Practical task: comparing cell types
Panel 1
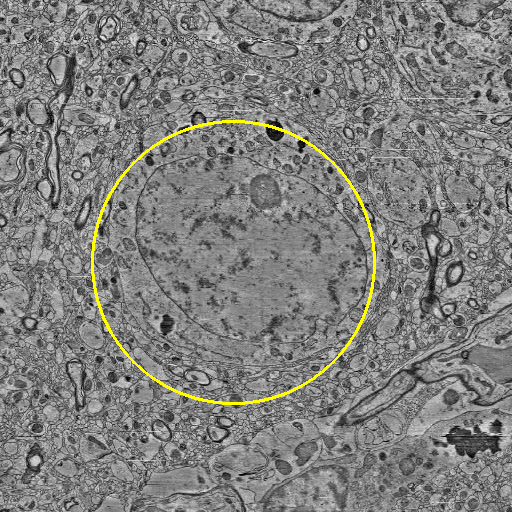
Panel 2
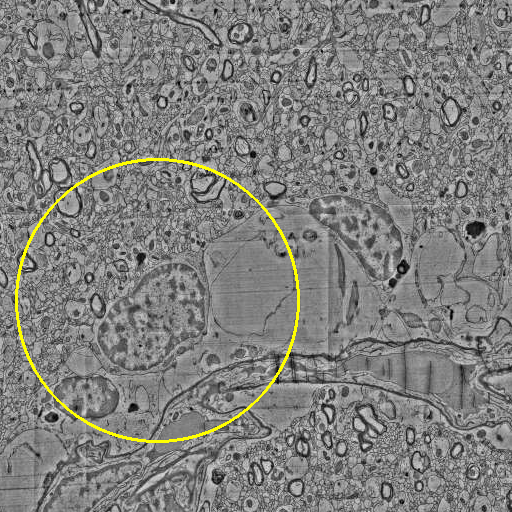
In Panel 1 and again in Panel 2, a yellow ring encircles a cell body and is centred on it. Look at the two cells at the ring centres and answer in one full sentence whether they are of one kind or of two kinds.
The two cells sitting at the ring centres of Panels 1 and 2 are of two kinds.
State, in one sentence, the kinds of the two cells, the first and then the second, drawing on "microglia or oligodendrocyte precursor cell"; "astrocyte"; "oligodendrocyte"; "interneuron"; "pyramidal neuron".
The ring in the second picture is centred on an oligodendrocyte, the ring in the first on a pyramidal neuron.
